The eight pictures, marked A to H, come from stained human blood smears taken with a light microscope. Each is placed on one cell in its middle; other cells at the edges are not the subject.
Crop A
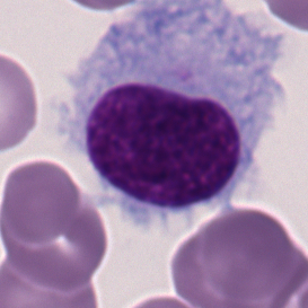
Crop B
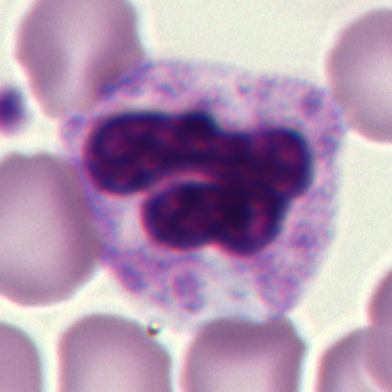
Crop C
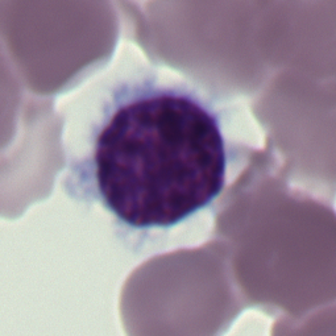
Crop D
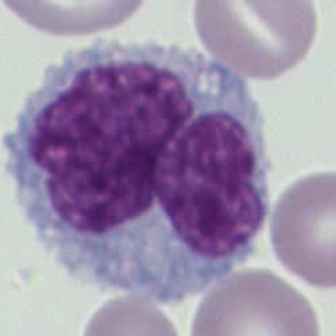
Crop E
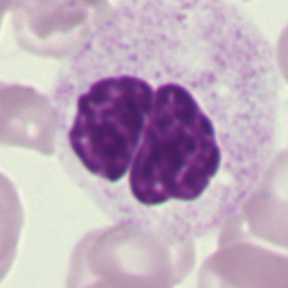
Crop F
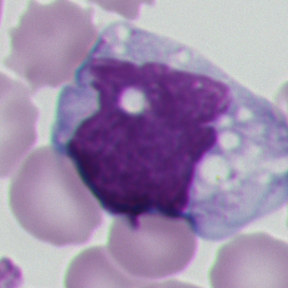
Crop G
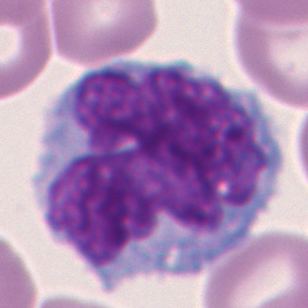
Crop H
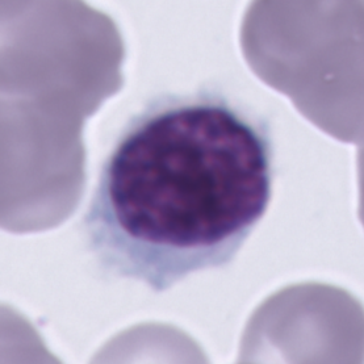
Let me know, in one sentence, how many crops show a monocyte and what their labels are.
In short, three crops contain monocytes: D, F and G.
